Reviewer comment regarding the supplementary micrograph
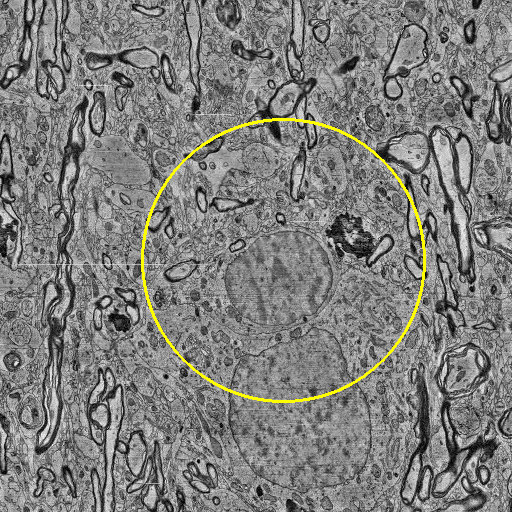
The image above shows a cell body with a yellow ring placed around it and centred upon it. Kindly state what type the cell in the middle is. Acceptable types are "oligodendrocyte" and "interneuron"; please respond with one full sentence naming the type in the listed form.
In the image above, the cell on which the yellow ring is centred is an oligodendrocyte.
